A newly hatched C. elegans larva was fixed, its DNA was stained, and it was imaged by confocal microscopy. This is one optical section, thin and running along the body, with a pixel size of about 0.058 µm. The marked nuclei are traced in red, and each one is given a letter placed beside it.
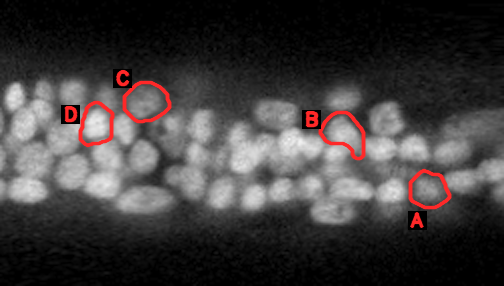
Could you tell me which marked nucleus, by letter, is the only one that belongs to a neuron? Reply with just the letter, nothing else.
D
